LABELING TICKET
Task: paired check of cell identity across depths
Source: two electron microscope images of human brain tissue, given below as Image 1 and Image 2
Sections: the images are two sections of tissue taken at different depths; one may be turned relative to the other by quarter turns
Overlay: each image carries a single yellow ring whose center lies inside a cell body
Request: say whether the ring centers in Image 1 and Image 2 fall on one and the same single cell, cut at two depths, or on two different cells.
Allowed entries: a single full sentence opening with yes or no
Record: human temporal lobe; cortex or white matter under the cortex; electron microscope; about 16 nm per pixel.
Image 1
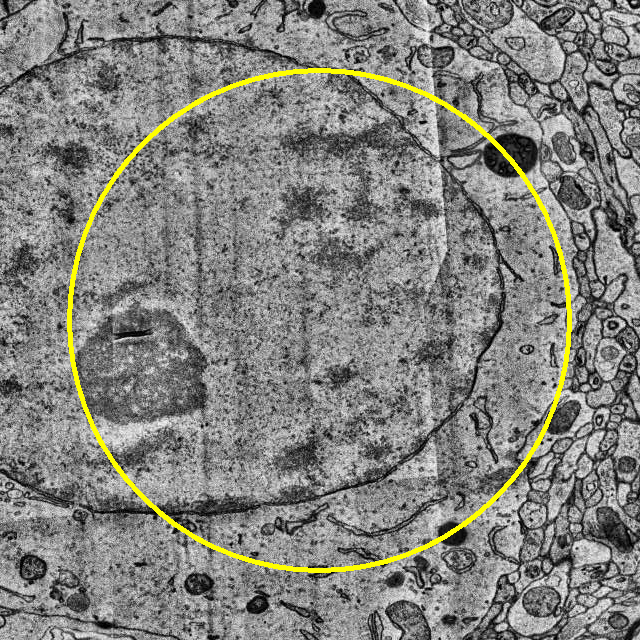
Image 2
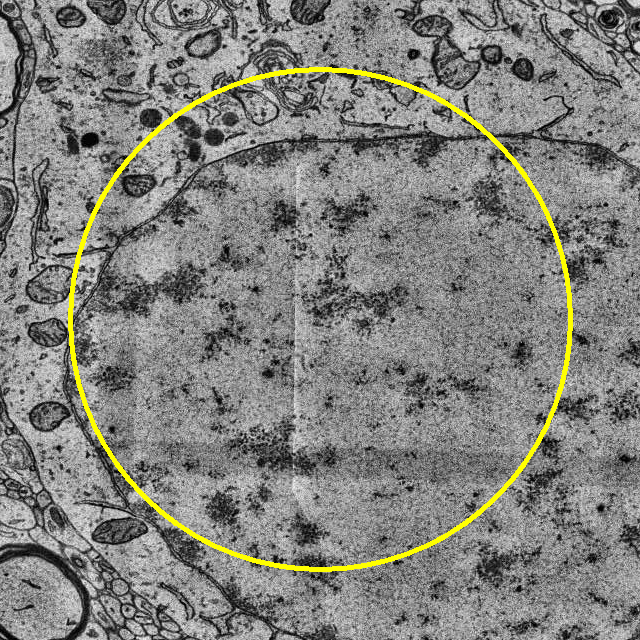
No, the two yellow rings correspond to two separate cells.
